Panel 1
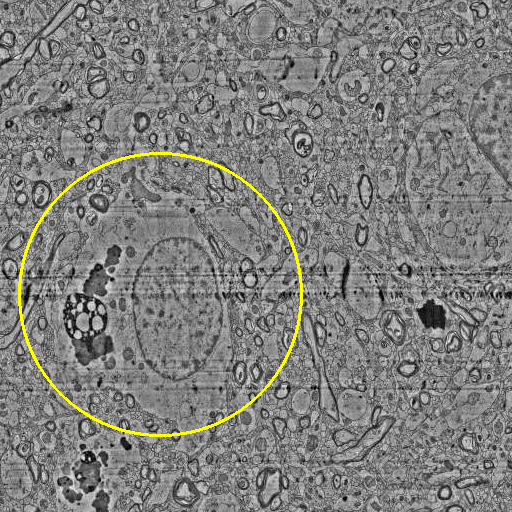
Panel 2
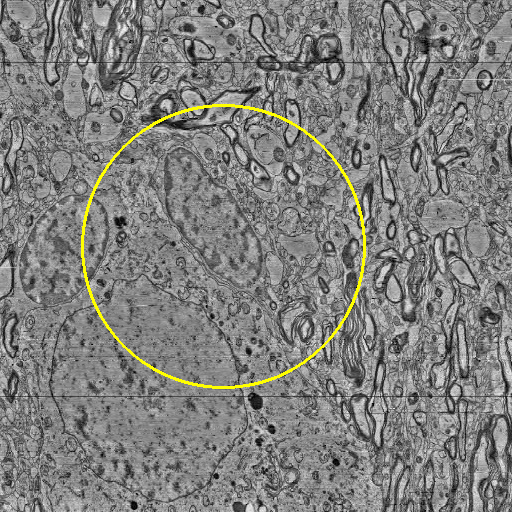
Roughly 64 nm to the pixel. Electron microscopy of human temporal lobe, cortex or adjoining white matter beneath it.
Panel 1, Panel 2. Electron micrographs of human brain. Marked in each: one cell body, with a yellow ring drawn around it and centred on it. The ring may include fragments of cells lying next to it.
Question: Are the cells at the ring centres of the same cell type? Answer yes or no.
no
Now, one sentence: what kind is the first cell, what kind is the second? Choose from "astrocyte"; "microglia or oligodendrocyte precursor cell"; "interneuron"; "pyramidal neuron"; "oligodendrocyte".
The first picture has an astrocyte at its ring centre, and the second has an oligodendrocyte.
